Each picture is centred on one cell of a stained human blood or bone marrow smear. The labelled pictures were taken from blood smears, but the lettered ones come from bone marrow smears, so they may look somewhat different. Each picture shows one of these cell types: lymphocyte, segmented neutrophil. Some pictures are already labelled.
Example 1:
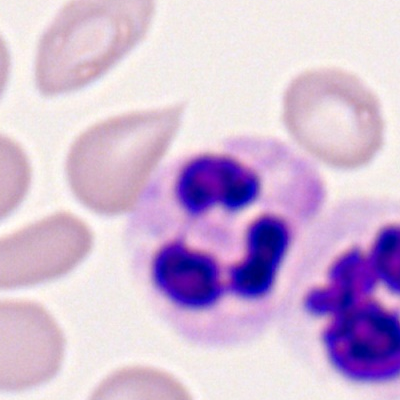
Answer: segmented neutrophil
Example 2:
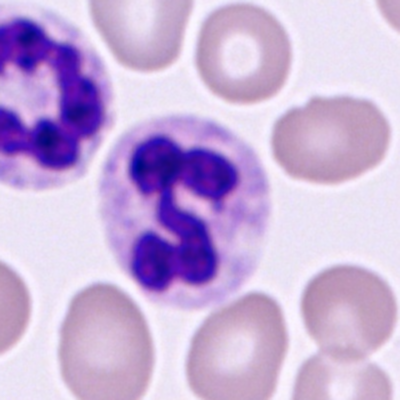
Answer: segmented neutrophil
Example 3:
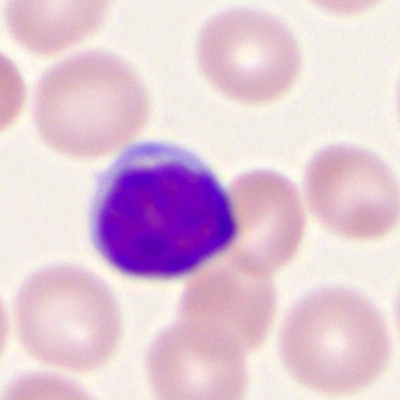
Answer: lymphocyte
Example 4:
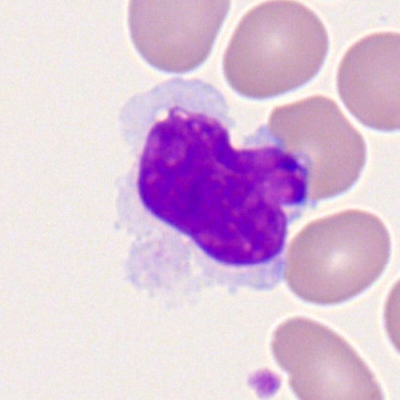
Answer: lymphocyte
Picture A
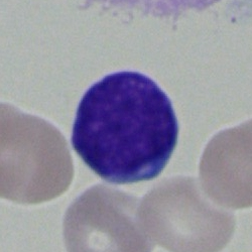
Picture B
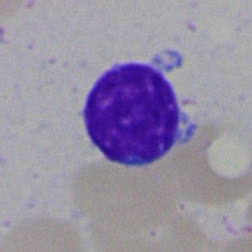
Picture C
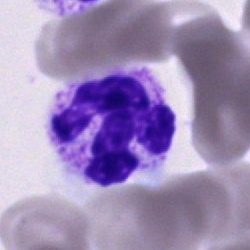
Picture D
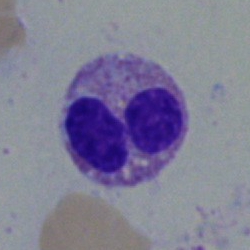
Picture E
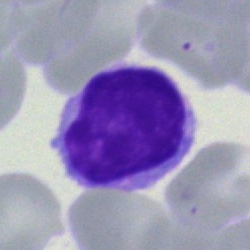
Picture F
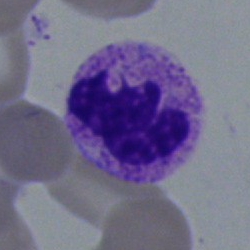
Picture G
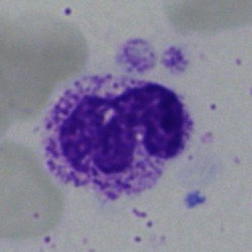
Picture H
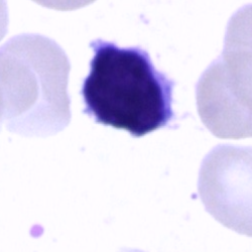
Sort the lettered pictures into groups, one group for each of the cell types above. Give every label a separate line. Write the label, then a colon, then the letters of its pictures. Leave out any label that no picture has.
lymphocyte: A, B, E, H
segmented neutrophil: C, D, F, G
